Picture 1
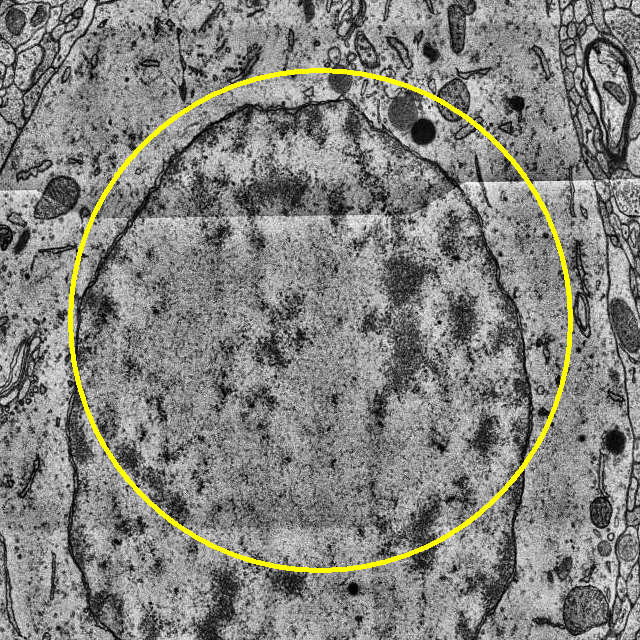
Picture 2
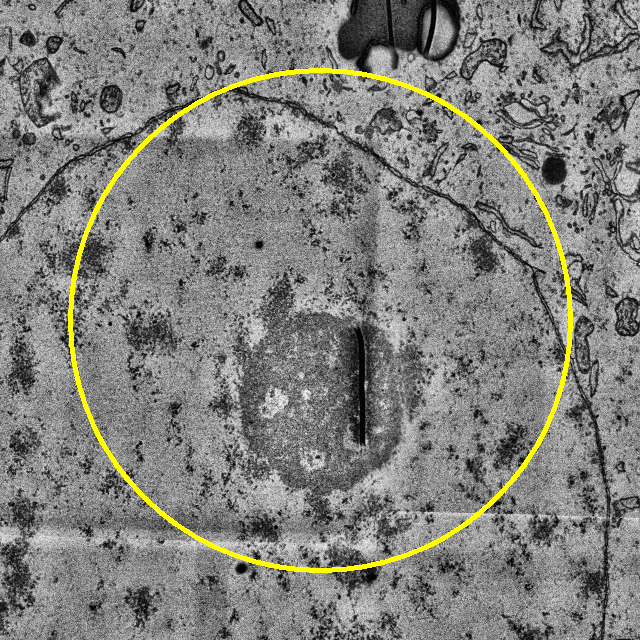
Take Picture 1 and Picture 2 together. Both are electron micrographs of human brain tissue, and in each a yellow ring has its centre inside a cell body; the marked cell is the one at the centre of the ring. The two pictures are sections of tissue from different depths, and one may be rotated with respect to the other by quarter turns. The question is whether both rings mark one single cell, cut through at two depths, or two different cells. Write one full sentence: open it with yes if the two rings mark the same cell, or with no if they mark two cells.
No, one ring and the other ring mark two distinct cells.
